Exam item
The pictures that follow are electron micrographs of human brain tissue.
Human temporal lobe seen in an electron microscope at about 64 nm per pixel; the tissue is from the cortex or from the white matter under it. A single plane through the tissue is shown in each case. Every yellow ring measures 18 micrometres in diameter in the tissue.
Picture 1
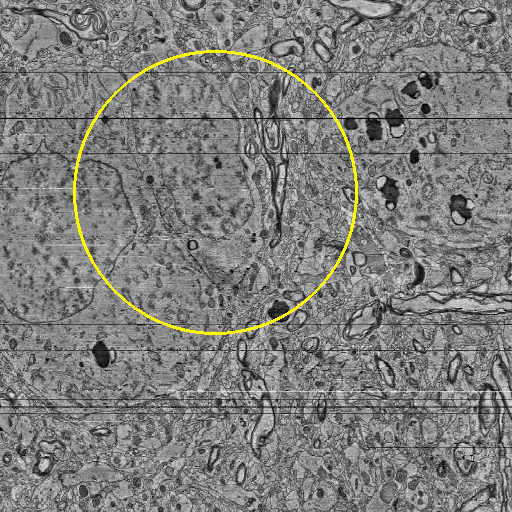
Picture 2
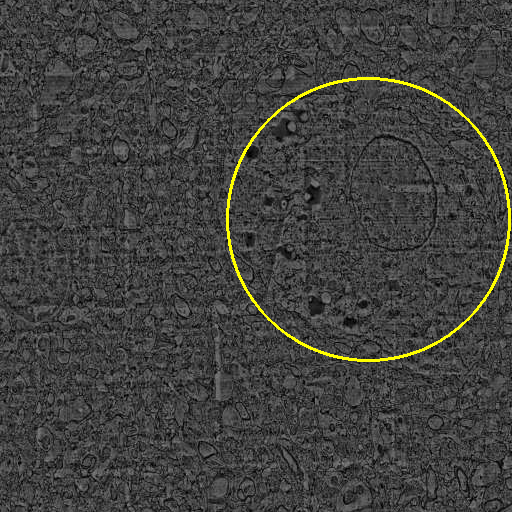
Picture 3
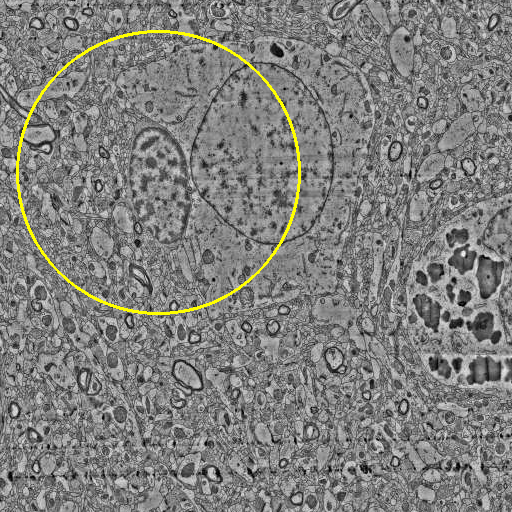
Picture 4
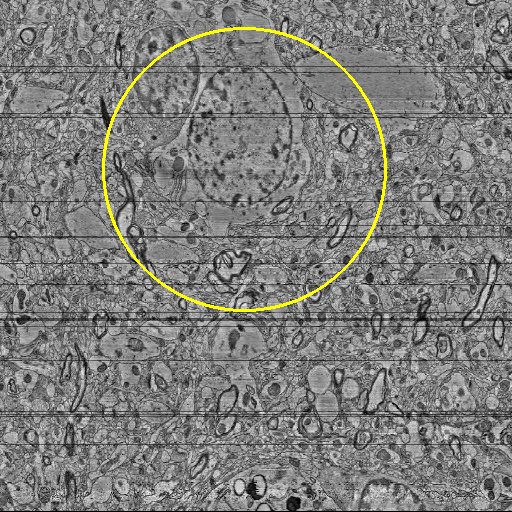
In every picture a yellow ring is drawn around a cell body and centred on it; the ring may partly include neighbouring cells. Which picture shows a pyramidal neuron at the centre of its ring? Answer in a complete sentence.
The cell at the centre of the ring in Picture 2 is the one asked for.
